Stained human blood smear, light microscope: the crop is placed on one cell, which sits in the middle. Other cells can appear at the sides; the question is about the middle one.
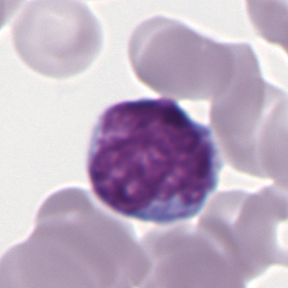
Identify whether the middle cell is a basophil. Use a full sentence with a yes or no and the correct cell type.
No, the middle cell is actually a lymphocyte rather than a basophil.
